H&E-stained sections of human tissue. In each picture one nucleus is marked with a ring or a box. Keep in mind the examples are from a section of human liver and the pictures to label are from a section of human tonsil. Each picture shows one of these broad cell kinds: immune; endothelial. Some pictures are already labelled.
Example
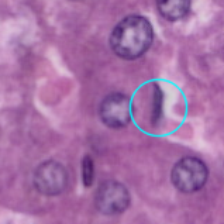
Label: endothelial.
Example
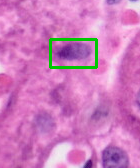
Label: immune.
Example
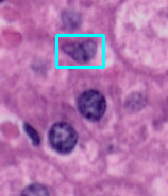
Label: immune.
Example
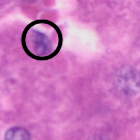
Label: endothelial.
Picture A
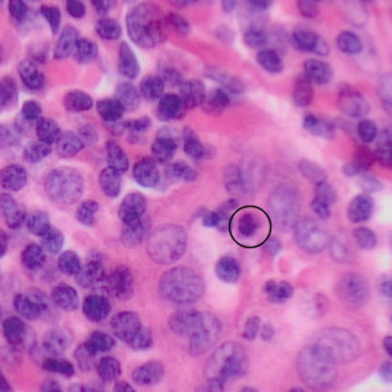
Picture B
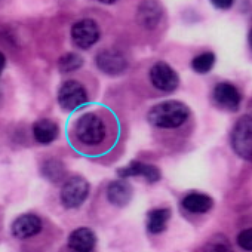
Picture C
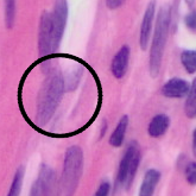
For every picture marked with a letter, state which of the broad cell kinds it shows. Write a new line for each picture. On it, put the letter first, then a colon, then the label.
A: endothelial.
B: immune.
C: endothelial.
